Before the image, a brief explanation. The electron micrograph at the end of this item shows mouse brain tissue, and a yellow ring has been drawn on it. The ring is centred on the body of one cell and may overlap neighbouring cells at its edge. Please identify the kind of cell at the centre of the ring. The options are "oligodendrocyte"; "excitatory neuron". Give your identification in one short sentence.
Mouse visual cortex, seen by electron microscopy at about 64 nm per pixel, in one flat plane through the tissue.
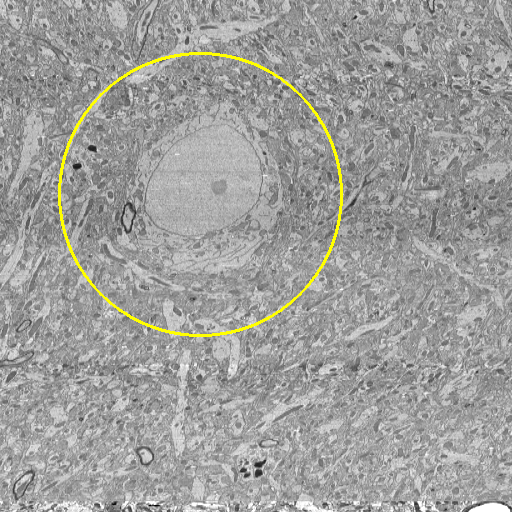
The ring has been placed around an excitatory neuron.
